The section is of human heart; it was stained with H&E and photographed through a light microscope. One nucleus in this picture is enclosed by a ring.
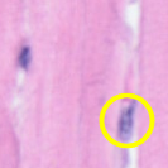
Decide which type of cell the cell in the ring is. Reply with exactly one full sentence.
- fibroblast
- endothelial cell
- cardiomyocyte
For the purposes of cell typing, the cell in the ring is categorized as an endothelial cell.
